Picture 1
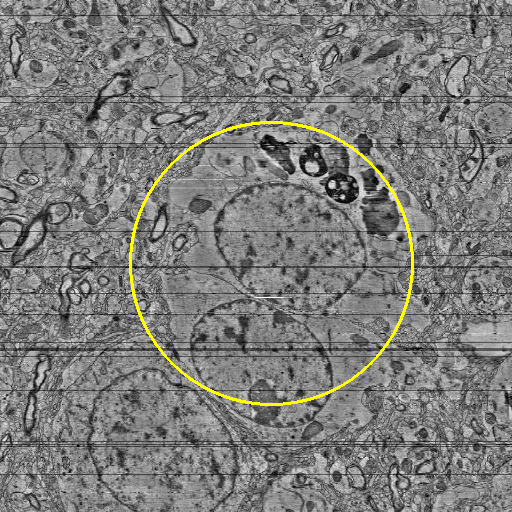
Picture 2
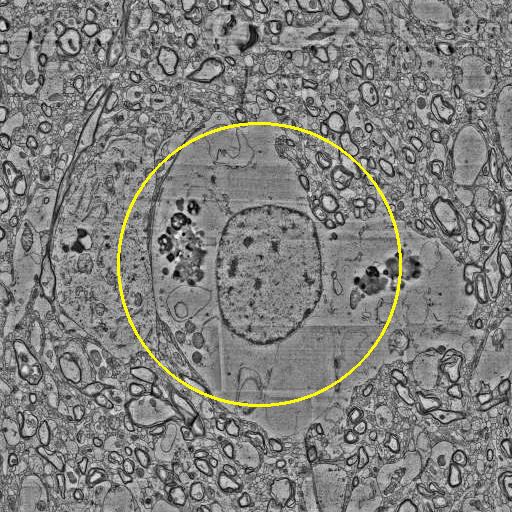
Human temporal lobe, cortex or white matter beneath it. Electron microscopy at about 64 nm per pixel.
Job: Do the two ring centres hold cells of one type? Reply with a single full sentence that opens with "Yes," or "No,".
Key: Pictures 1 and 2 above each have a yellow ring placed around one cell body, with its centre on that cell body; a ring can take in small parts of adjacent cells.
Yes, the cells at the two ring centres are of one single type.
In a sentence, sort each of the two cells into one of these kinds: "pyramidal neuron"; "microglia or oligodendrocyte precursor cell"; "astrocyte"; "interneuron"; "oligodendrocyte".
Each of the two cells is an astrocyte.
